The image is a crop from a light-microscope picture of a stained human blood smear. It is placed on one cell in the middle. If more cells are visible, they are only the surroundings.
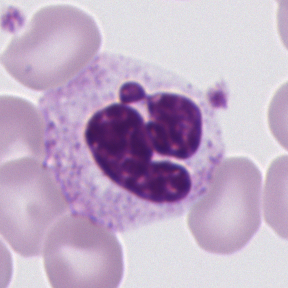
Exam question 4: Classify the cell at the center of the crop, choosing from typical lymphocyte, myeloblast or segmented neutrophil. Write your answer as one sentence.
The cell marked by its central position in the crop is a segmented neutrophil.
